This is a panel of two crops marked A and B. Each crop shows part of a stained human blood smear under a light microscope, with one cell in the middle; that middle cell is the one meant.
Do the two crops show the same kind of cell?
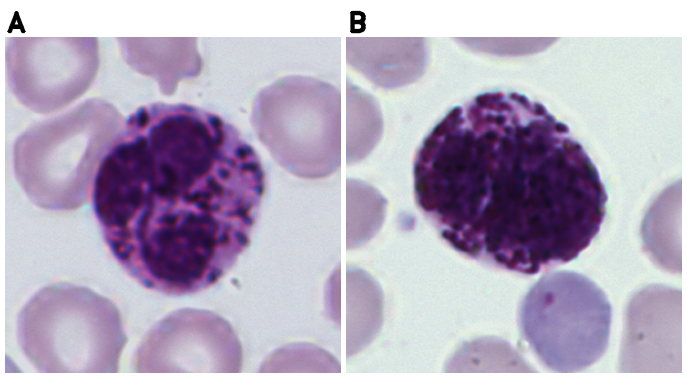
yes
